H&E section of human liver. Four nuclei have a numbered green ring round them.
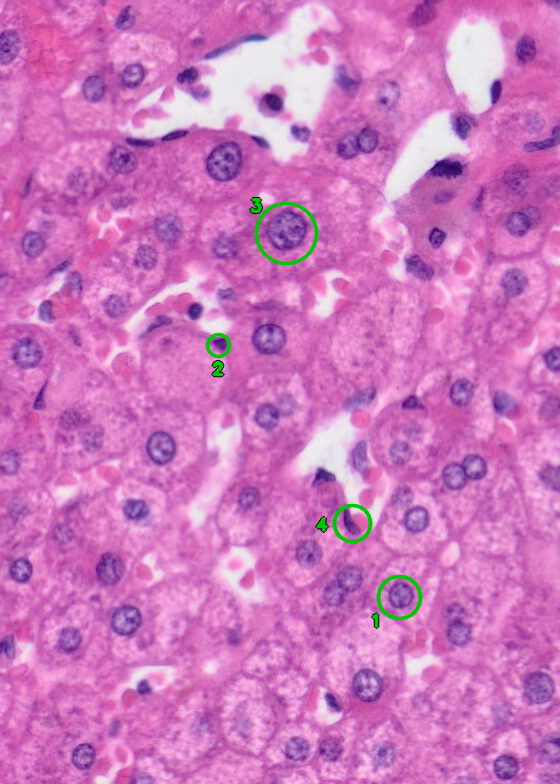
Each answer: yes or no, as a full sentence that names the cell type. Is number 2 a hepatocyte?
No, the cell identified by number 2 is a fibroblast or stellate cell, not a hepatocyte.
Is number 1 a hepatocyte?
Yes, the cell tagged with the number 1 is a hepatocyte.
